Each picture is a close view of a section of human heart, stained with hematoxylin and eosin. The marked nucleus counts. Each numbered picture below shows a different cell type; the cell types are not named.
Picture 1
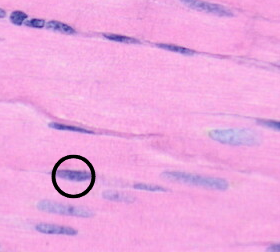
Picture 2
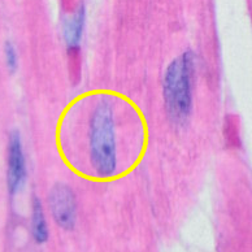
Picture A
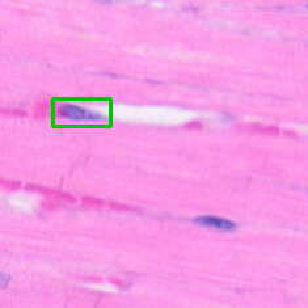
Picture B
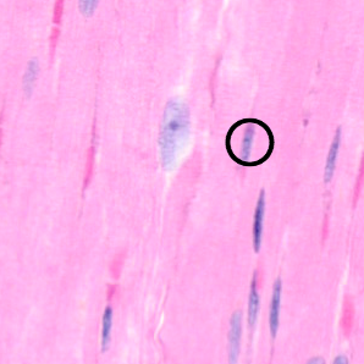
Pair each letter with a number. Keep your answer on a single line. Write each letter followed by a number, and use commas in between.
A 1, B 1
